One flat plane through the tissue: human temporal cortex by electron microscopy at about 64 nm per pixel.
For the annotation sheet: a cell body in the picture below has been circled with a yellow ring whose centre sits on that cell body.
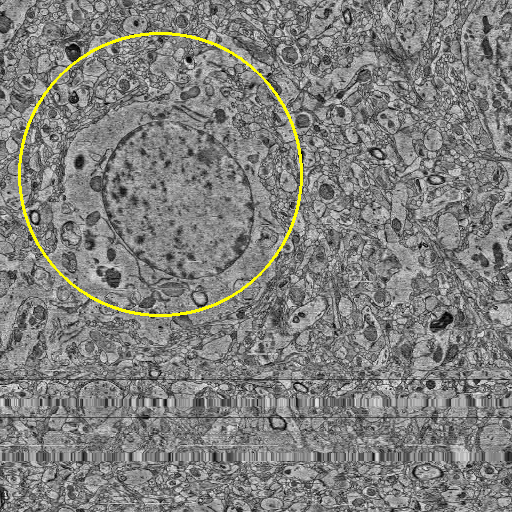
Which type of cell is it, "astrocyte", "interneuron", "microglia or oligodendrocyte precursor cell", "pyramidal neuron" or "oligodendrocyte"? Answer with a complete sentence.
The circled cell is an astrocyte.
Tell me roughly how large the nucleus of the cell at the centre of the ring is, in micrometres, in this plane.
The nucleus is approximately 11 micrometers long by 9 micrometers wide in this plane.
